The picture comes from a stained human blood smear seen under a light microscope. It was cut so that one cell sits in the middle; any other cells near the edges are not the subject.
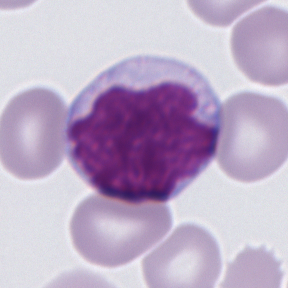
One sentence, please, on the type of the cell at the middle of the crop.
In the middle of this smear crop, the cell is a large granular lymphocyte.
